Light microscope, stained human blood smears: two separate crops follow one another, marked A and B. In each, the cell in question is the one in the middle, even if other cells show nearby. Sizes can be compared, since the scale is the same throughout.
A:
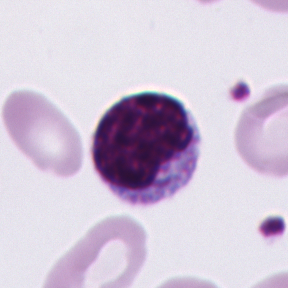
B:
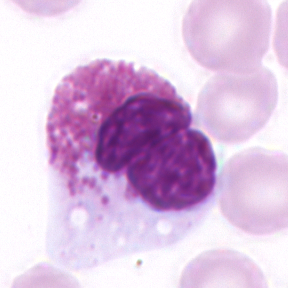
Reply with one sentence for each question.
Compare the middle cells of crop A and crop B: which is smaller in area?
It is the cell in crop A; the cell in crop B has about 2 times its area.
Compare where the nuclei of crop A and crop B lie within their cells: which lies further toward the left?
It is the nucleus in crop A that lies further toward the left of its cell.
